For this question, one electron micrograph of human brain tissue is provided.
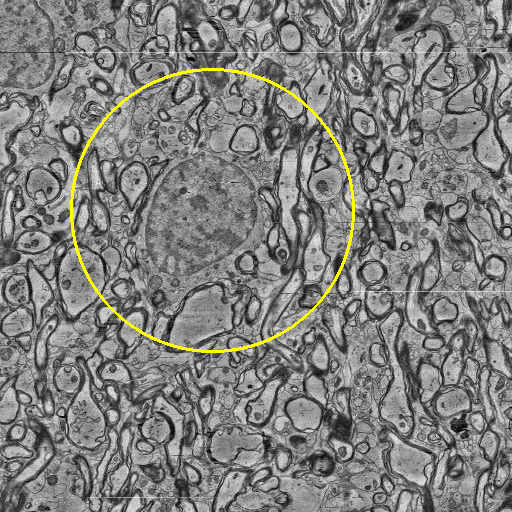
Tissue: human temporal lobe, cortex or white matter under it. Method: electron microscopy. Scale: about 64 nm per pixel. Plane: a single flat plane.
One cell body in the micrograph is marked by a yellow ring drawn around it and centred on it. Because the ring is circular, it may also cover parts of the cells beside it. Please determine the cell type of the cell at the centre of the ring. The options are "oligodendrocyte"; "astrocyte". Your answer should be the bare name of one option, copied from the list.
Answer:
oligodendrocyte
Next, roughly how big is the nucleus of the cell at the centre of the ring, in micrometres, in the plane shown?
In this plane the nucleus measures roughly 8 by 7 micrometers.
